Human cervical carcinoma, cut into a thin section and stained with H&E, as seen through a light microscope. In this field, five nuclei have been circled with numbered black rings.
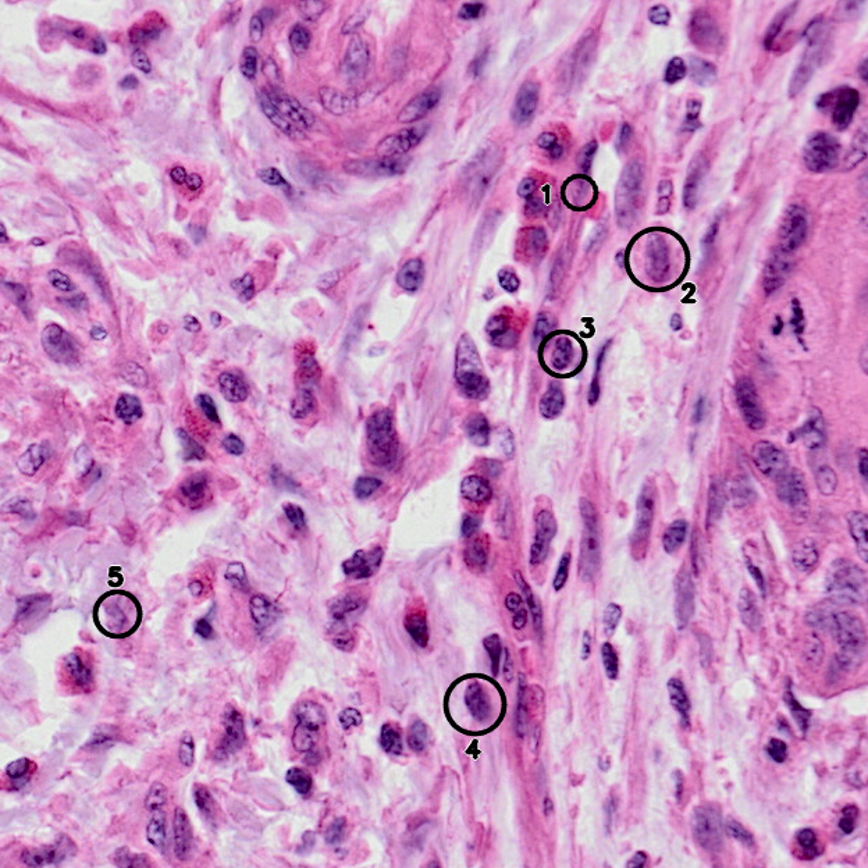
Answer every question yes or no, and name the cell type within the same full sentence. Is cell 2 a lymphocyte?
No, cell 2 should be classed as a macrophage or monocyte, not as a lymphocyte.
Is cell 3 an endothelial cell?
No, cell 3 does not represent an endothelial cell; it represents a lymphocyte.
